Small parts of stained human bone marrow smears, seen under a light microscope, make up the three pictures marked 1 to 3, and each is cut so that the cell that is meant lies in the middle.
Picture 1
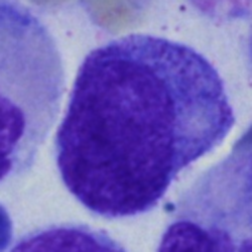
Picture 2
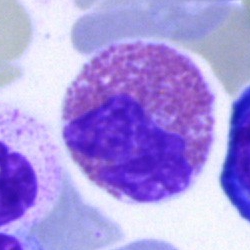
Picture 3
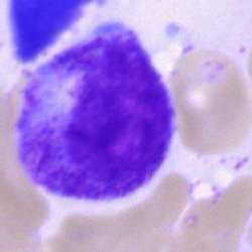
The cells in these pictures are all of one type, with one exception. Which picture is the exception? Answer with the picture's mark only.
2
